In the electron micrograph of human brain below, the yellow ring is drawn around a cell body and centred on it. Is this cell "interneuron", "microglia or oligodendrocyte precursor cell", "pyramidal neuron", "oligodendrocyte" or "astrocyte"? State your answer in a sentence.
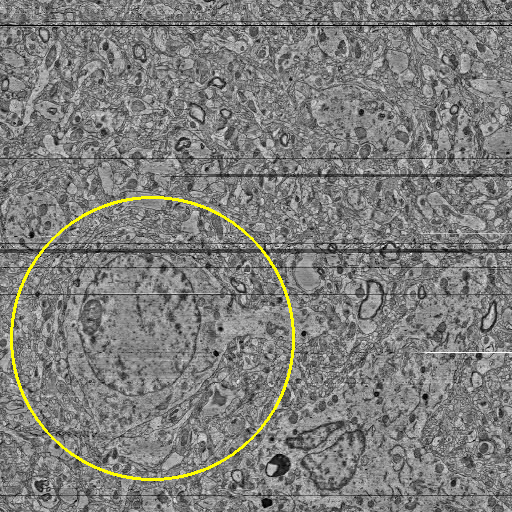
The cell in the middle of the ring is a pyramidal neuron.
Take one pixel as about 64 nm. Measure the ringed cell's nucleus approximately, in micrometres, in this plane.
In this plane the nucleus measures roughly 10 by 8 micrometres.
